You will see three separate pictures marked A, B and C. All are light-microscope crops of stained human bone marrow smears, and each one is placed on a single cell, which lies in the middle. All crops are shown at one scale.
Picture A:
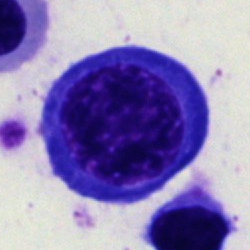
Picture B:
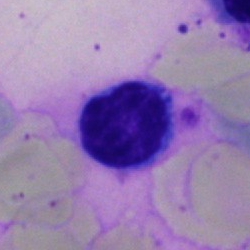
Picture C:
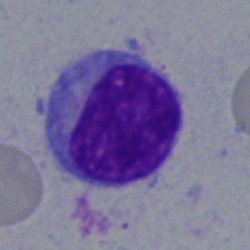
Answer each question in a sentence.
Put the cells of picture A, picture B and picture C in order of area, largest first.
Largest first: A, C, B.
